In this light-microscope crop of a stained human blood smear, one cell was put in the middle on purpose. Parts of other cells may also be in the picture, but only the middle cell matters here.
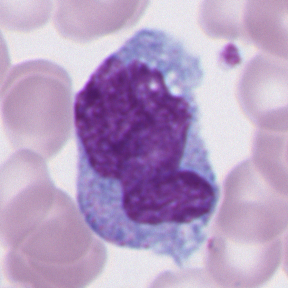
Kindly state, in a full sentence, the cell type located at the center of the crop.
The cell sitting right in the middle is a monocyte.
